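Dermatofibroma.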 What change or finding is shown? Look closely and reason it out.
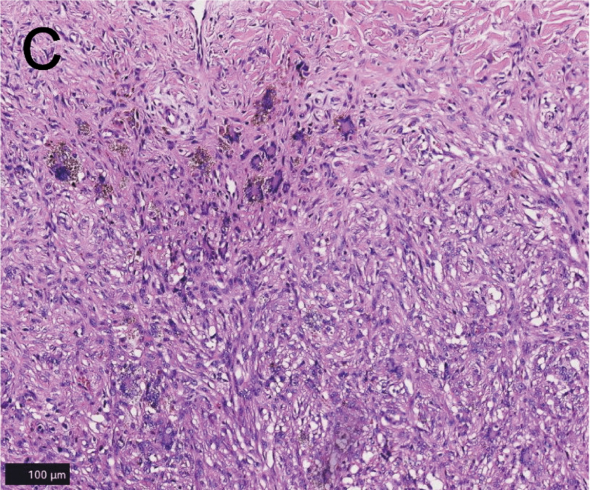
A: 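Clusters of golden-brown granular pigment lie in the upper left of the field. That points to this answer: Hemosiderin deposition.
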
